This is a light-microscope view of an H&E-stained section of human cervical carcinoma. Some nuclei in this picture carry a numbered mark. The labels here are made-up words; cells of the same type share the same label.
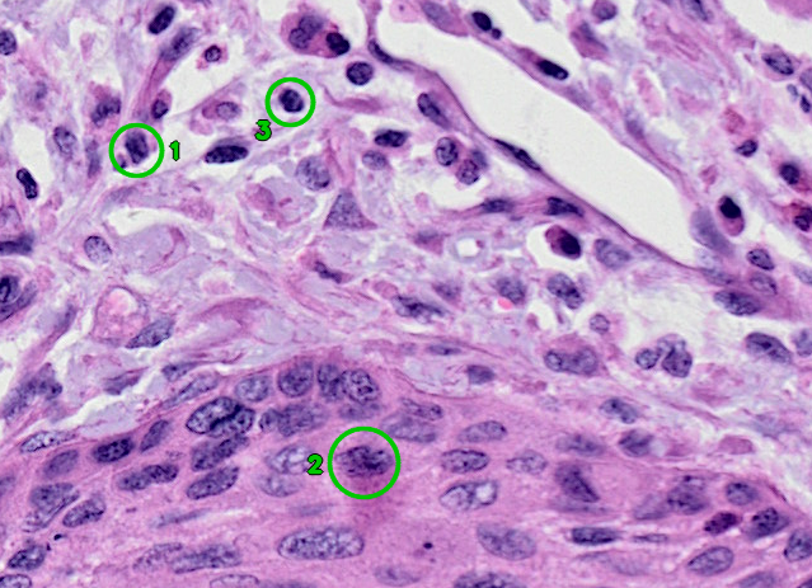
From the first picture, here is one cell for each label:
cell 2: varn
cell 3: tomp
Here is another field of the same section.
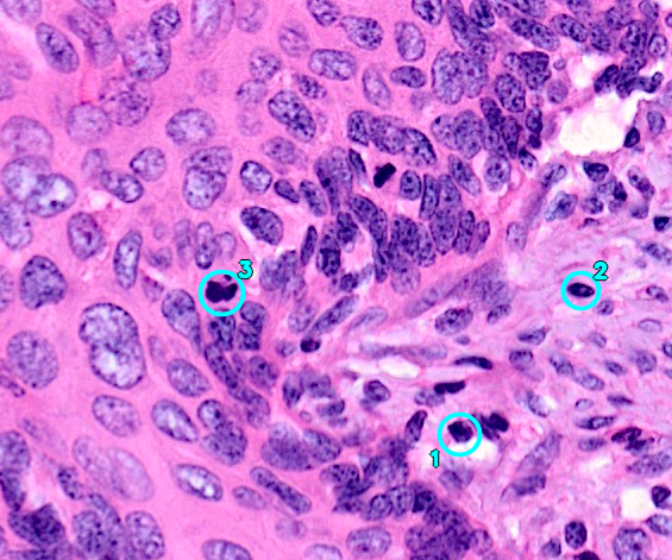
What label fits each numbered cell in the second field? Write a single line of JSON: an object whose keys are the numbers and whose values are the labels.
{"1": "tomp", "2": "tomp", "3": "varn"}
